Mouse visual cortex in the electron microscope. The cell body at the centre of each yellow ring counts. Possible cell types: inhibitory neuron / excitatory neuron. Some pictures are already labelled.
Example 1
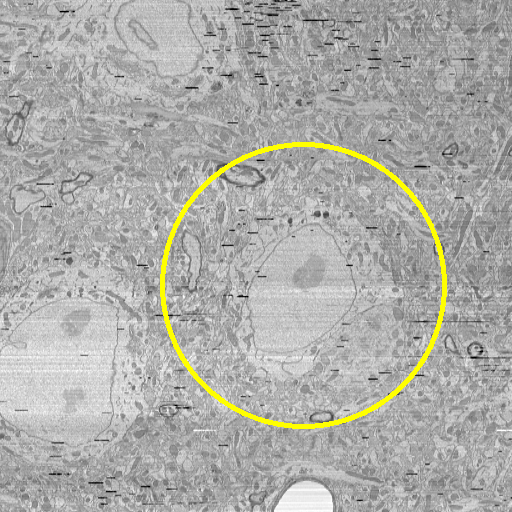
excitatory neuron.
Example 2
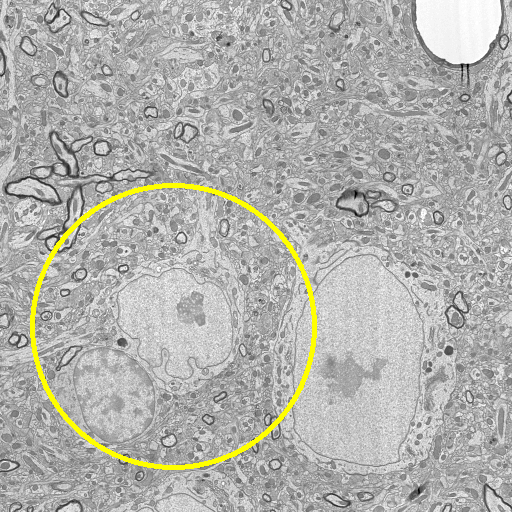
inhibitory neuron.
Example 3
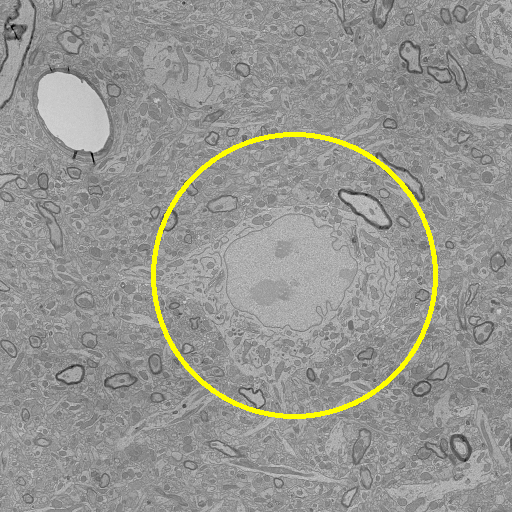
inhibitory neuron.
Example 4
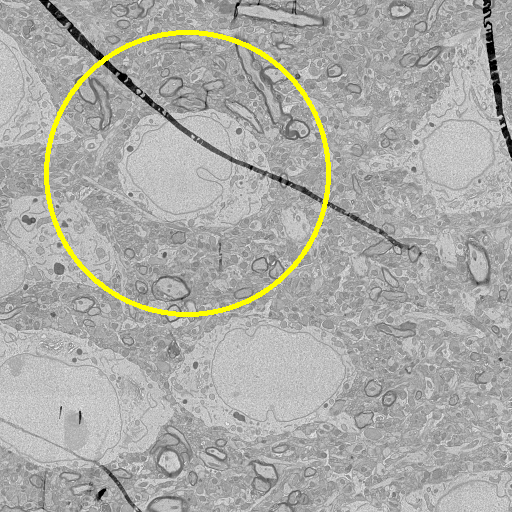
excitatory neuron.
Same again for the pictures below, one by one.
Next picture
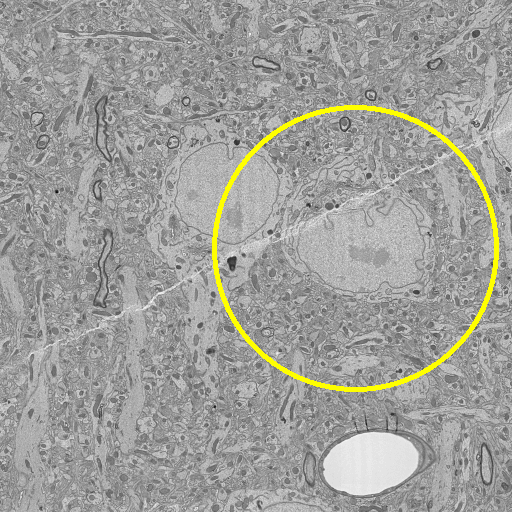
inhibitory neuron.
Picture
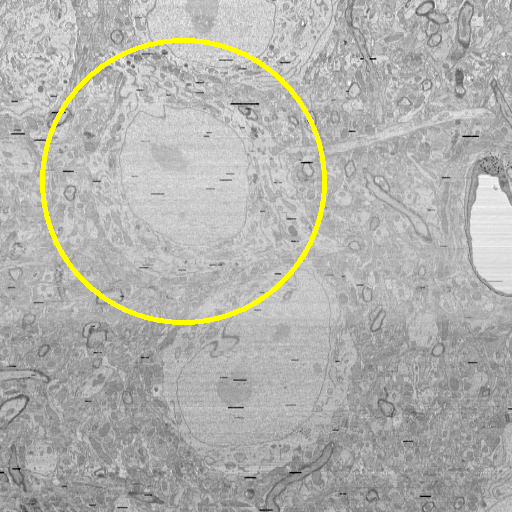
inhibitory neuron.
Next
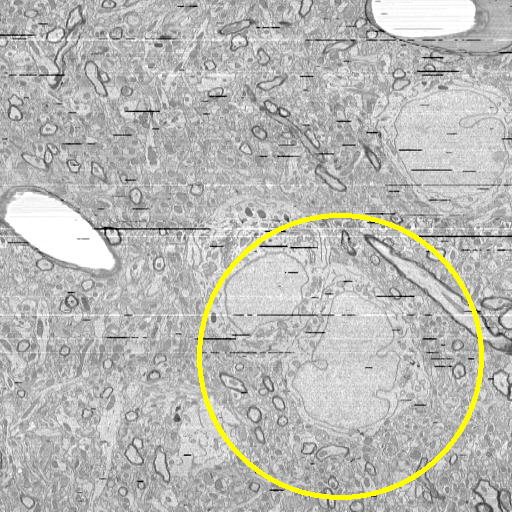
inhibitory neuron.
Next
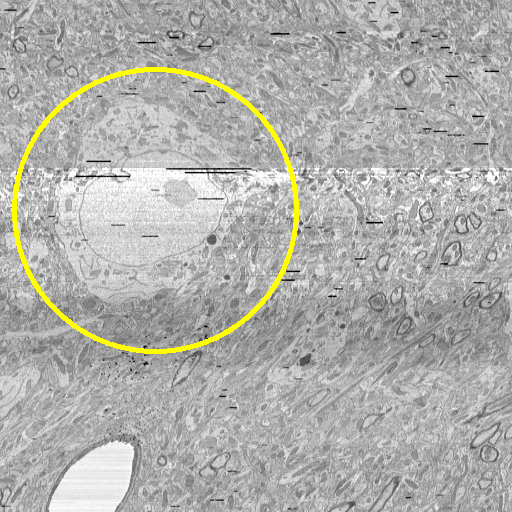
excitatory neuron.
